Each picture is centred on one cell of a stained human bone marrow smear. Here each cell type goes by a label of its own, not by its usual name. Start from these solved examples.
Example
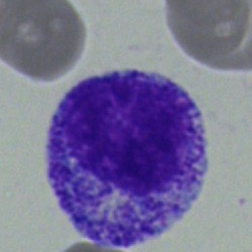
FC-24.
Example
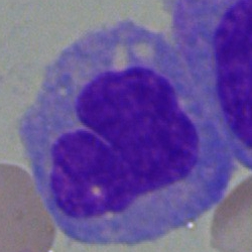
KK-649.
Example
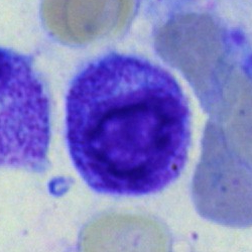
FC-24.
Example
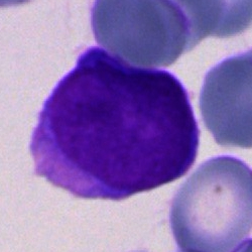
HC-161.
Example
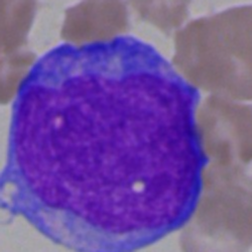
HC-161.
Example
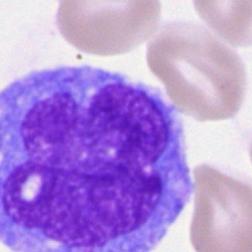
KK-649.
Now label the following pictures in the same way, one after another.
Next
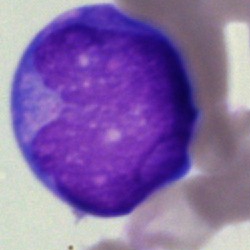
HC-161.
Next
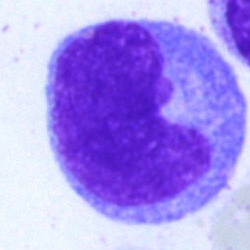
KK-649.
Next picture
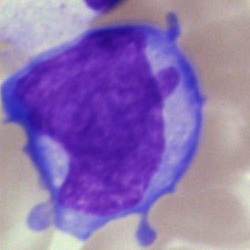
HC-161.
